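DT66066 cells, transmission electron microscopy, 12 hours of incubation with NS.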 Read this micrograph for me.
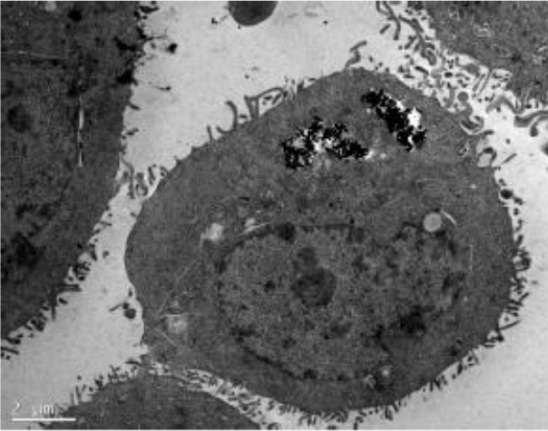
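A rounded cell with a large, oval nucleus containing dark nucleoli; its surface bears many short, finger-like projections. Neighbouring cells with similar surface projections border it.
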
